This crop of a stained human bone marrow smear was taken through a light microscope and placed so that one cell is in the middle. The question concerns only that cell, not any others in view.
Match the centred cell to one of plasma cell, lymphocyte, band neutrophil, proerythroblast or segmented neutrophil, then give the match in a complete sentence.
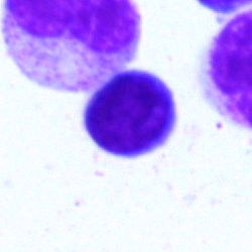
This crop's central cell is a lymphocyte.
